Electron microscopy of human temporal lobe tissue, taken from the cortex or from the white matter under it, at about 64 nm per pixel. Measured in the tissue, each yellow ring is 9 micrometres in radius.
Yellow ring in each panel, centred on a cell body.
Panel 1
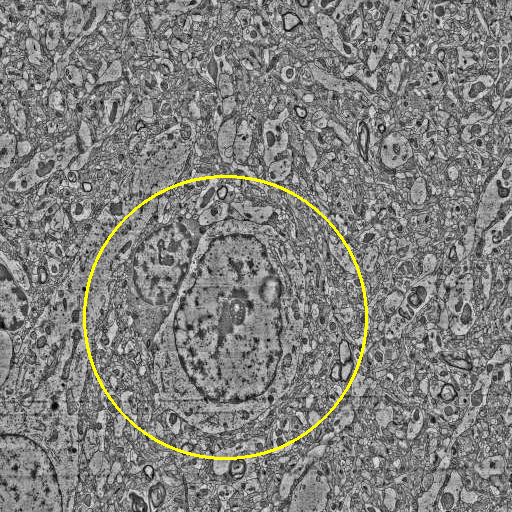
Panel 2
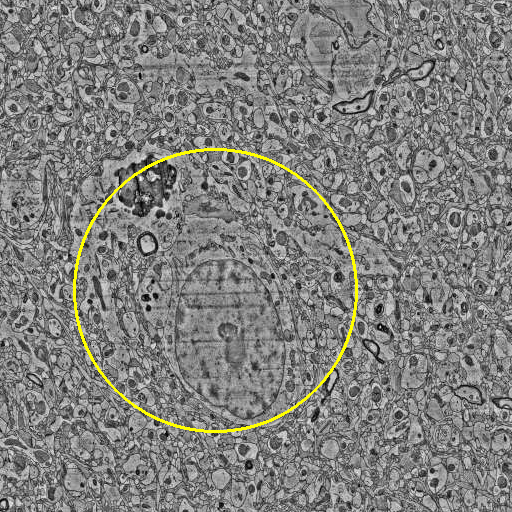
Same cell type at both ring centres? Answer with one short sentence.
Yes, both cells are of the same type.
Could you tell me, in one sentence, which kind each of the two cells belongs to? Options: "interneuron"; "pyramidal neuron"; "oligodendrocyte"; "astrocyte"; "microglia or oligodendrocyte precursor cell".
Each of the ringed cells, first and second, is an interneuron.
